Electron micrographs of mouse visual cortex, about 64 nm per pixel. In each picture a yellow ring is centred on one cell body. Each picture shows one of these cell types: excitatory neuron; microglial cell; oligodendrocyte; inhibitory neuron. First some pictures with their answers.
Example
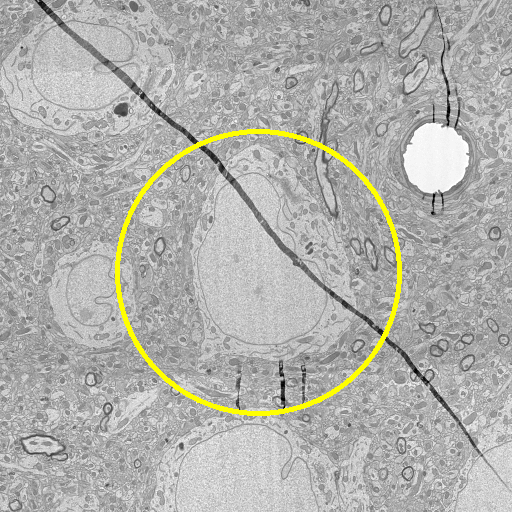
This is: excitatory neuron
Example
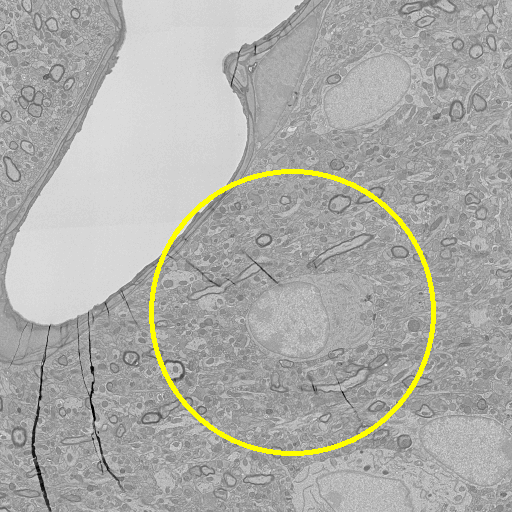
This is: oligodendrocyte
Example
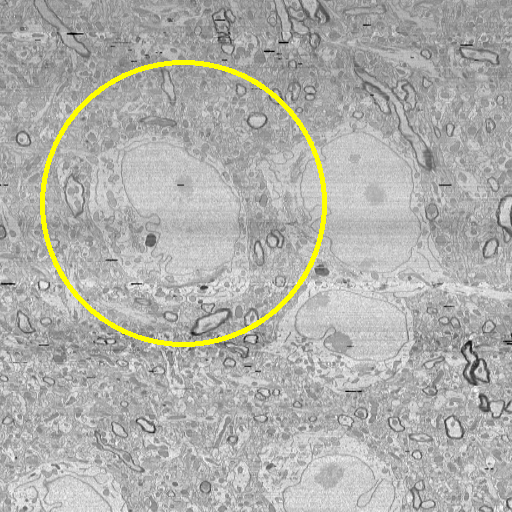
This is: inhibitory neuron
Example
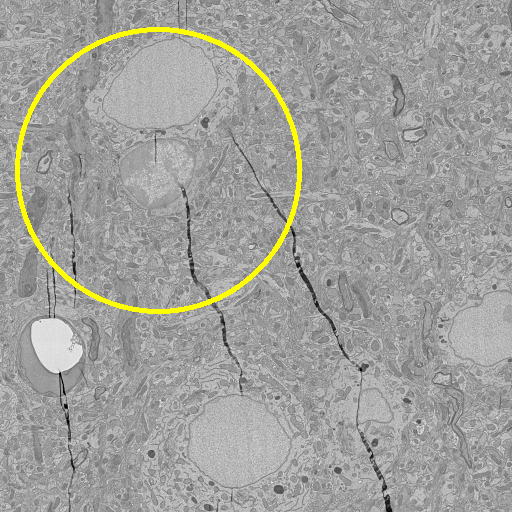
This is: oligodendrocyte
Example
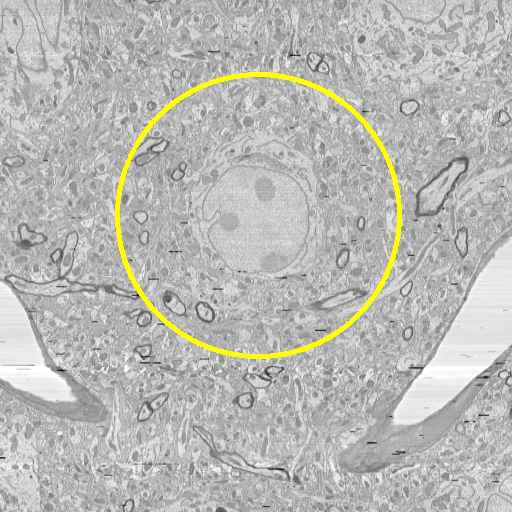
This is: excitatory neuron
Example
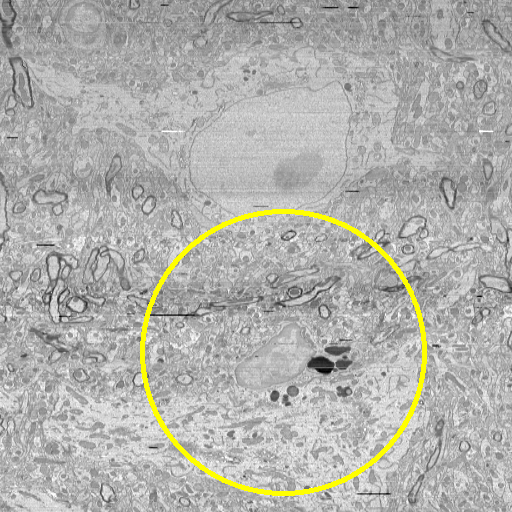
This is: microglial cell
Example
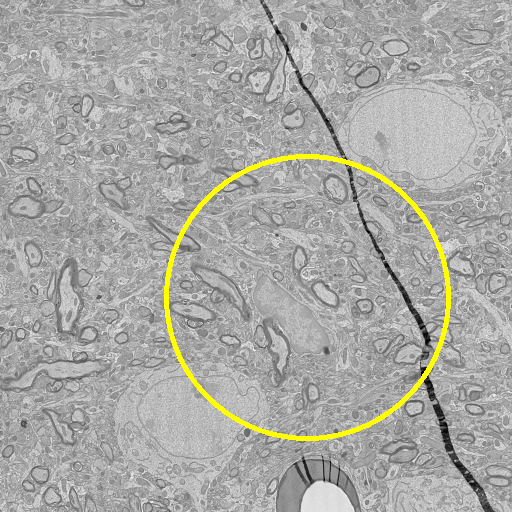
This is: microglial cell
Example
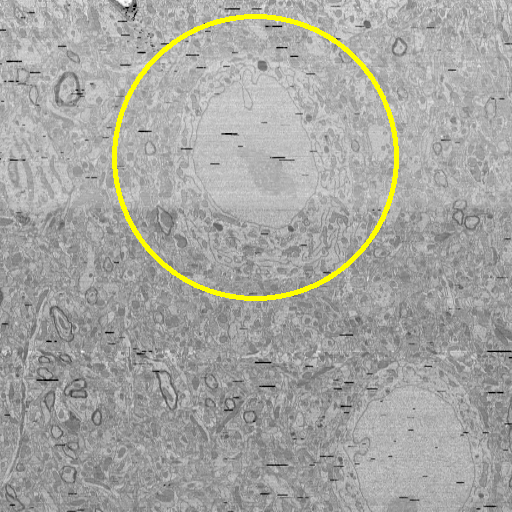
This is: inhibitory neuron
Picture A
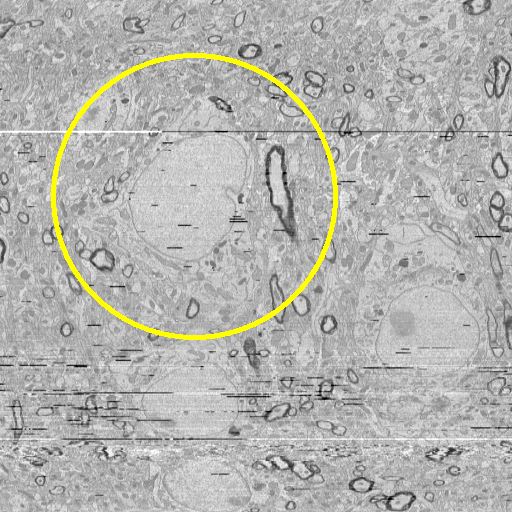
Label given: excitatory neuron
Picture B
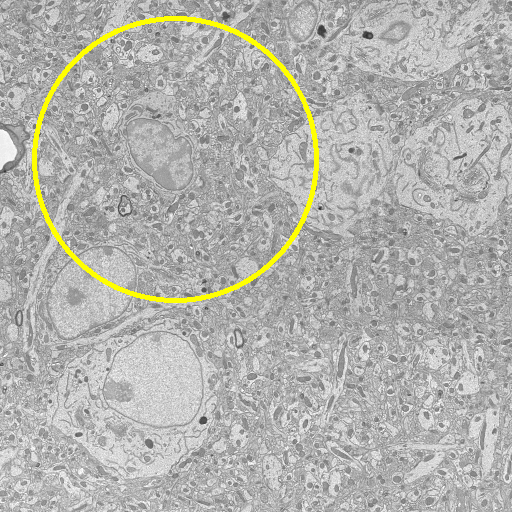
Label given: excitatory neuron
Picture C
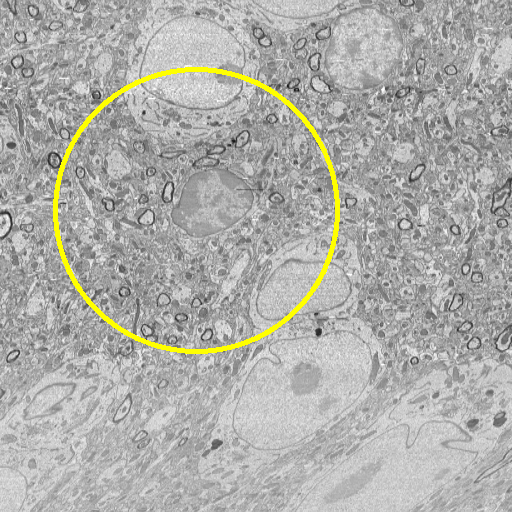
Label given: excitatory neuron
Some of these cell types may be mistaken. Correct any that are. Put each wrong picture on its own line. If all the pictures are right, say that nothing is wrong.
B: change excitatory neuron to microglial cell
C: change excitatory neuron to microglial cell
